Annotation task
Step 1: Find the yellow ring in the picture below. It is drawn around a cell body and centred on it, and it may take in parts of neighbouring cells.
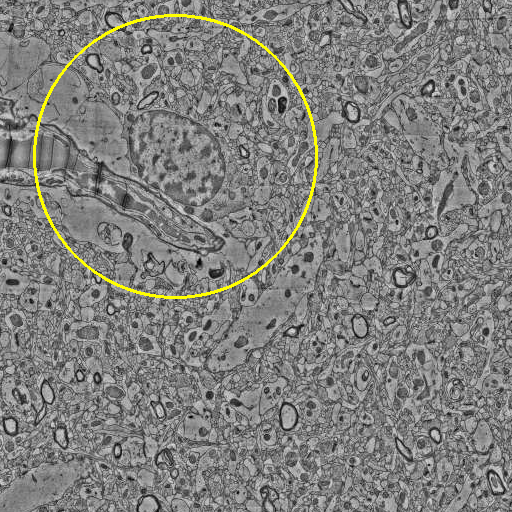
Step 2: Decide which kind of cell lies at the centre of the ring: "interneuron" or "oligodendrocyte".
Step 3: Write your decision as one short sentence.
The kind of cell at the ring's centre is an oligodendrocyte.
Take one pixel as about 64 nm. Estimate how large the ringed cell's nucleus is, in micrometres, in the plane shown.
In this plane the nucleus measures roughly 7 by 5 micrometers.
